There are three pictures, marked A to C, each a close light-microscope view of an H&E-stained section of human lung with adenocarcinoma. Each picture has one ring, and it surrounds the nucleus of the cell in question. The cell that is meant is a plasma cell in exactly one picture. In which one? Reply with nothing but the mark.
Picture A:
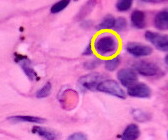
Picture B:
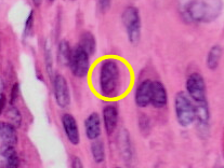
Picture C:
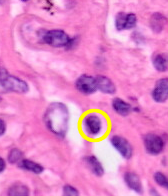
B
